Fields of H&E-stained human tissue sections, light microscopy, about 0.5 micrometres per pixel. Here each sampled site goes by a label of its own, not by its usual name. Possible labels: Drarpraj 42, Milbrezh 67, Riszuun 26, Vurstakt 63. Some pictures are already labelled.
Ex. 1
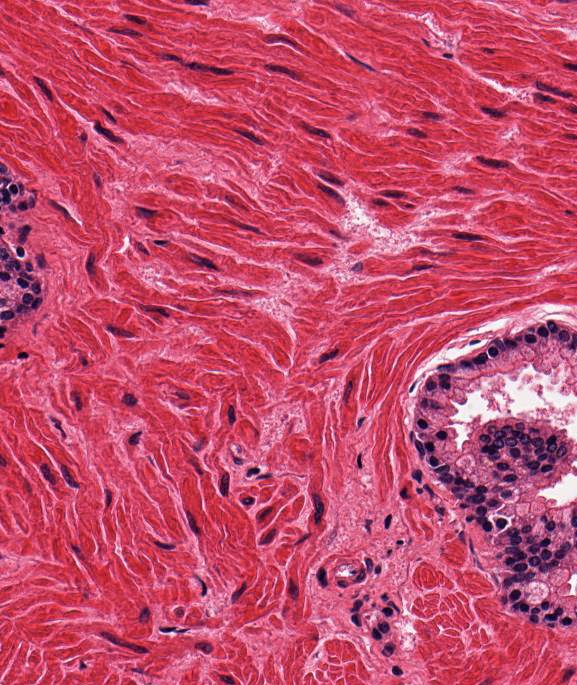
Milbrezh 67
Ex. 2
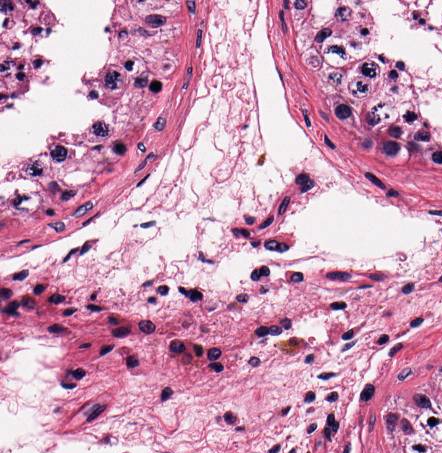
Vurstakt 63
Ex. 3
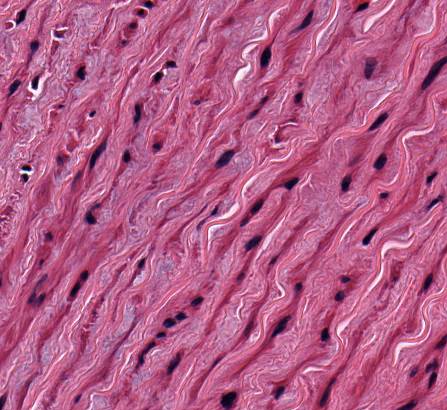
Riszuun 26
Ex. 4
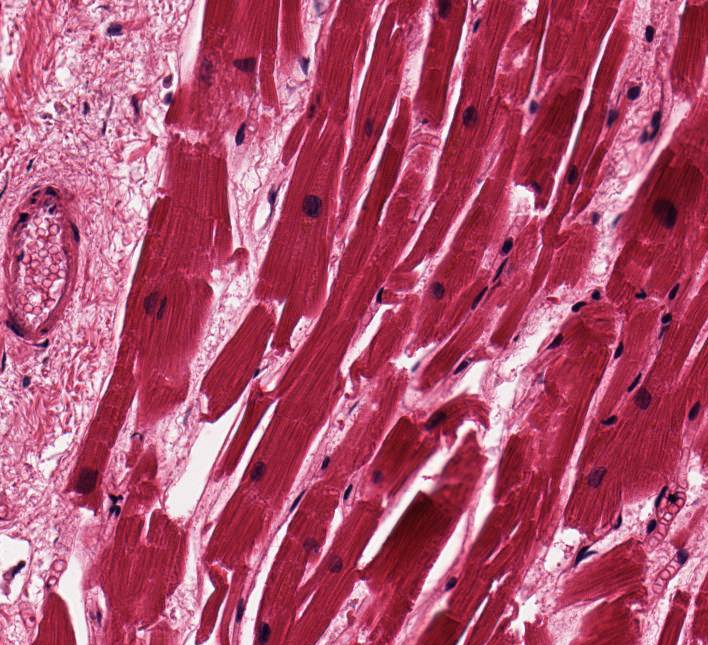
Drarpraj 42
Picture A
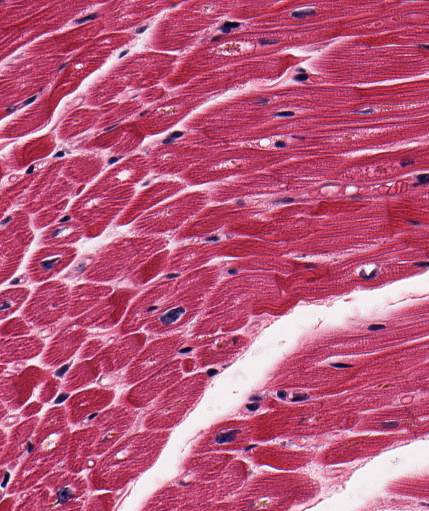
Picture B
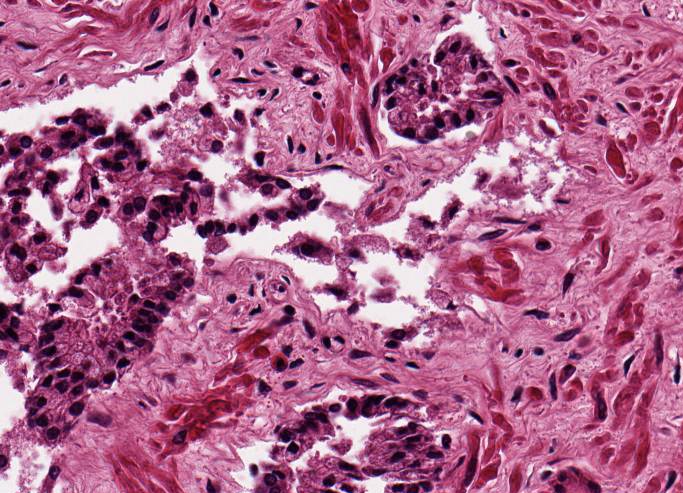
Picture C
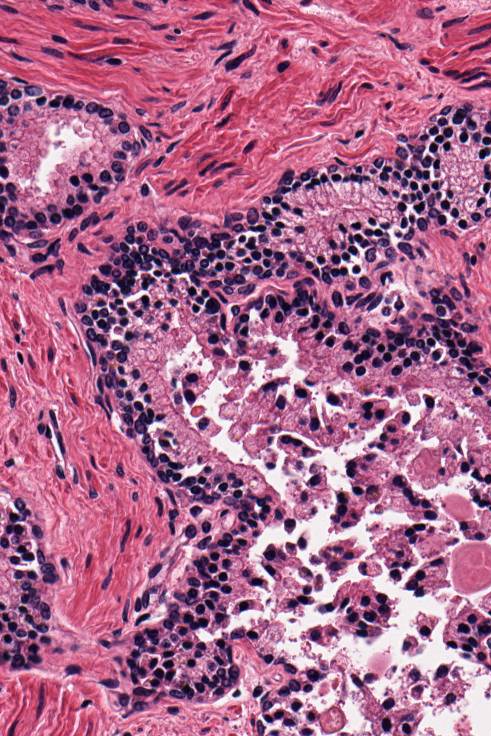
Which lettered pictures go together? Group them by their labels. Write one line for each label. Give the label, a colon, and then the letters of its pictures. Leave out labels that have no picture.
Drarpraj 42: A
Milbrezh 67: B, C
